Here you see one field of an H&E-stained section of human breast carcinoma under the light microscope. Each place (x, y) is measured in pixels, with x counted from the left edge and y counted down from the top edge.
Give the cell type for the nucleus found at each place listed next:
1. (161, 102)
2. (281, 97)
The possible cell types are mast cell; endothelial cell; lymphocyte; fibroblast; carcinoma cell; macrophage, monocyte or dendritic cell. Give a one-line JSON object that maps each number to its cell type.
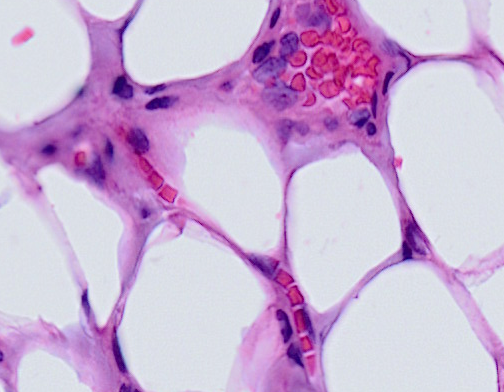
{"1": "fibroblast", "2": "endothelial cell"}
